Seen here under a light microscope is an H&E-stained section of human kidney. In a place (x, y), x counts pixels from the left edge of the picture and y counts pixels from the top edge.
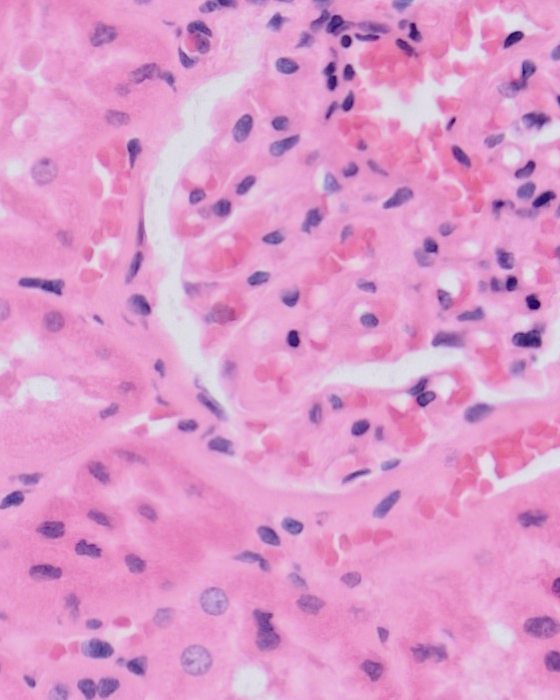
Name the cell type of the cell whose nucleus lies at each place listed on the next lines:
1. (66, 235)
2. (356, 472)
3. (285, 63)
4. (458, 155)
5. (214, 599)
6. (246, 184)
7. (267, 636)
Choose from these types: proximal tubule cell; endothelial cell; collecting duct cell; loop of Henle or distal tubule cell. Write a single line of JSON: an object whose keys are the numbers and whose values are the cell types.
{"1": "proximal tubule cell", "2": "endothelial cell", "3": "endothelial cell", "4": "endothelial cell", "5": "proximal tubule cell", "6": "endothelial cell", "7": "proximal tubule cell"}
